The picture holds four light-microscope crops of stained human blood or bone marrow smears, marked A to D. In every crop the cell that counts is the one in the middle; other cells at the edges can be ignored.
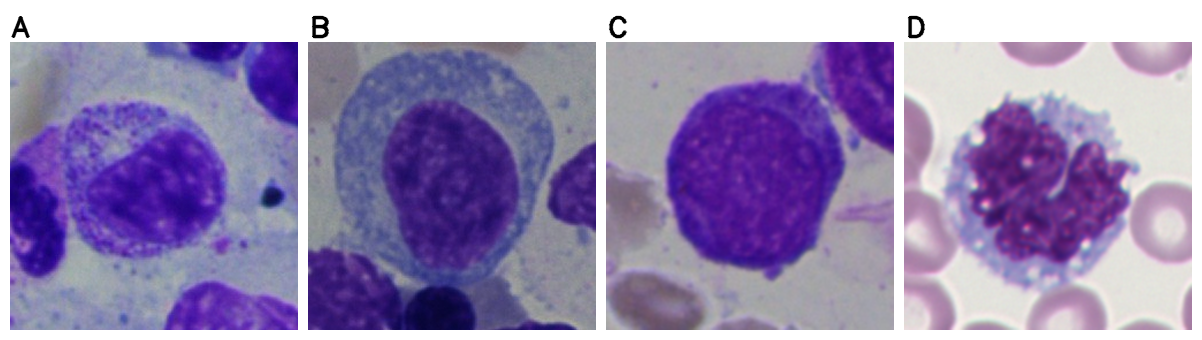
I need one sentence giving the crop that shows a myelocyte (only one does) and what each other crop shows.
Whereas crop B is a blast, crop C is a promyelocyte and crop D is a monocyte, the cell at the centre of crop A is a myelocyte.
